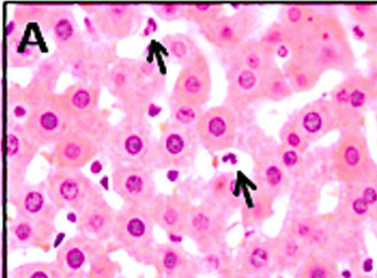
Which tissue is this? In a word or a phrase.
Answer: Liver.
